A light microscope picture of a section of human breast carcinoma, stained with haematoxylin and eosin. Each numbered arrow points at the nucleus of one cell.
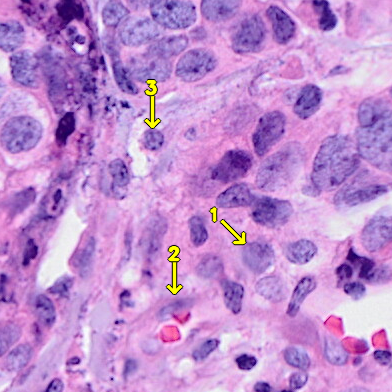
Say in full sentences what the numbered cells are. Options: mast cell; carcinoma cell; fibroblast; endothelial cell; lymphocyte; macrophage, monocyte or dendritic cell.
Cell 1 is a carcinoma cell, cell 2 is an endothelial cell and cell 3 is a macrophage, monocyte or dendritic cell.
